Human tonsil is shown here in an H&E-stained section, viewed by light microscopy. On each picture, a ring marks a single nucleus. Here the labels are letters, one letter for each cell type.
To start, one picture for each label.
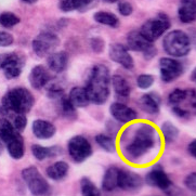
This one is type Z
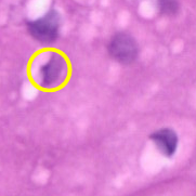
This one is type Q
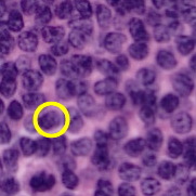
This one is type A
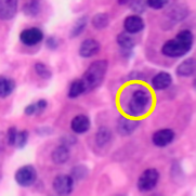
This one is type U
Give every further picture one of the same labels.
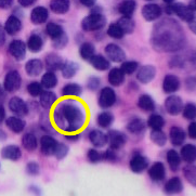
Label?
type A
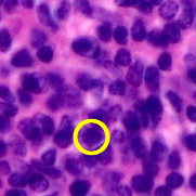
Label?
type A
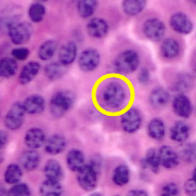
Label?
type U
